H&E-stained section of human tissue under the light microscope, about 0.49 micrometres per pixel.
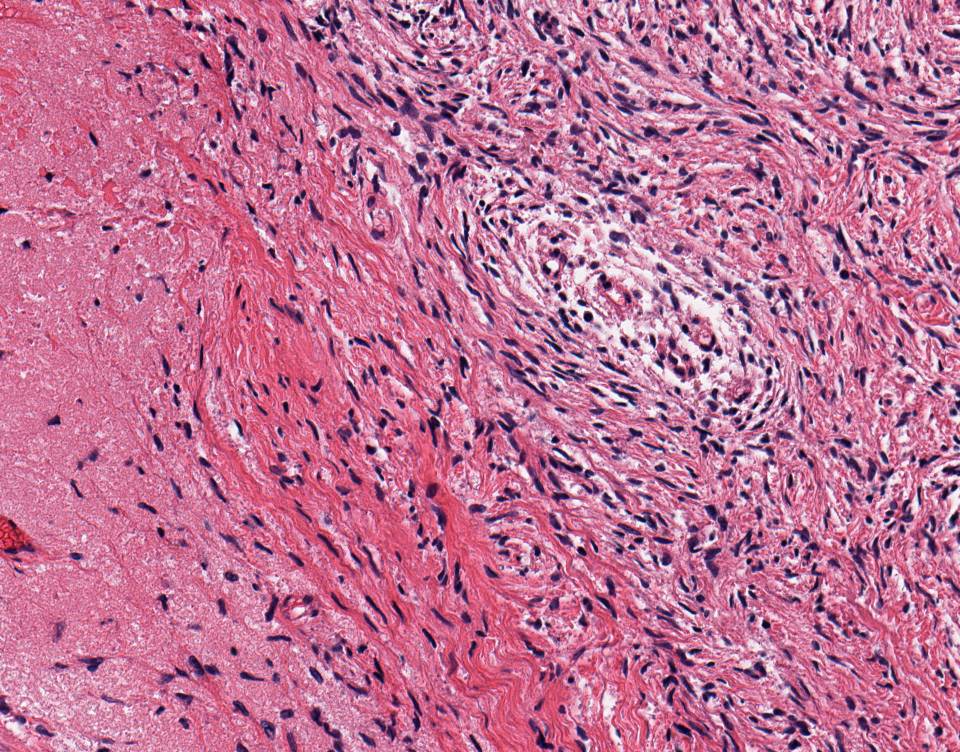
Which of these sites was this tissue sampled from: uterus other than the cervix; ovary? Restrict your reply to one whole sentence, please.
Tissue from the ovary was used for this section.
